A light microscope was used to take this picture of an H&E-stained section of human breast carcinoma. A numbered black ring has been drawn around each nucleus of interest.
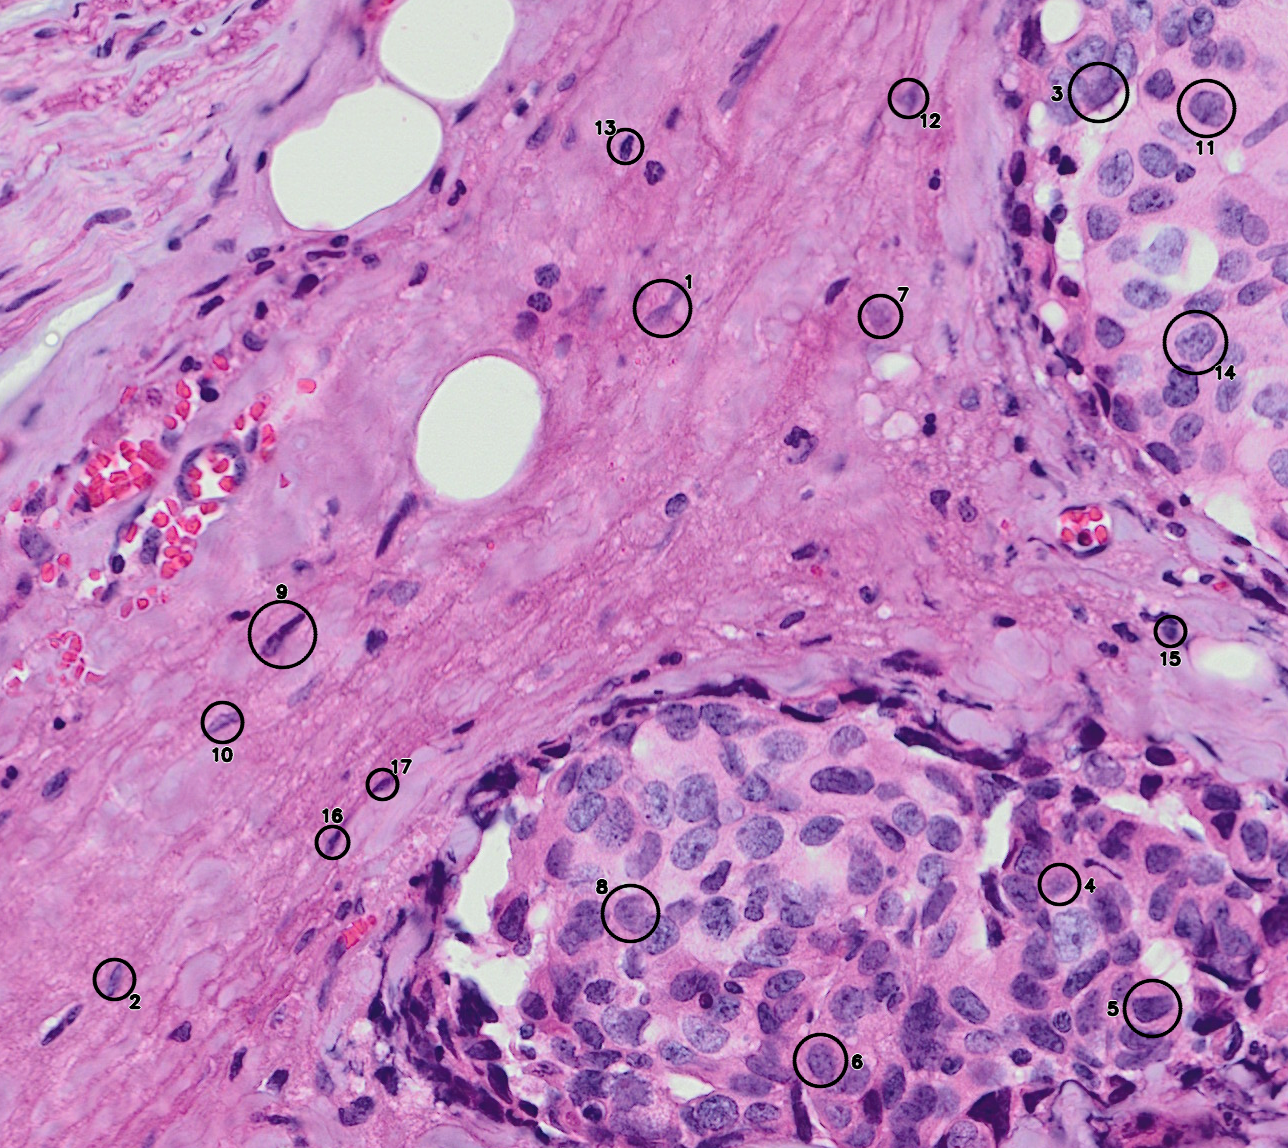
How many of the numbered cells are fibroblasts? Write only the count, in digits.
8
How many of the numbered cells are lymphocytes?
2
